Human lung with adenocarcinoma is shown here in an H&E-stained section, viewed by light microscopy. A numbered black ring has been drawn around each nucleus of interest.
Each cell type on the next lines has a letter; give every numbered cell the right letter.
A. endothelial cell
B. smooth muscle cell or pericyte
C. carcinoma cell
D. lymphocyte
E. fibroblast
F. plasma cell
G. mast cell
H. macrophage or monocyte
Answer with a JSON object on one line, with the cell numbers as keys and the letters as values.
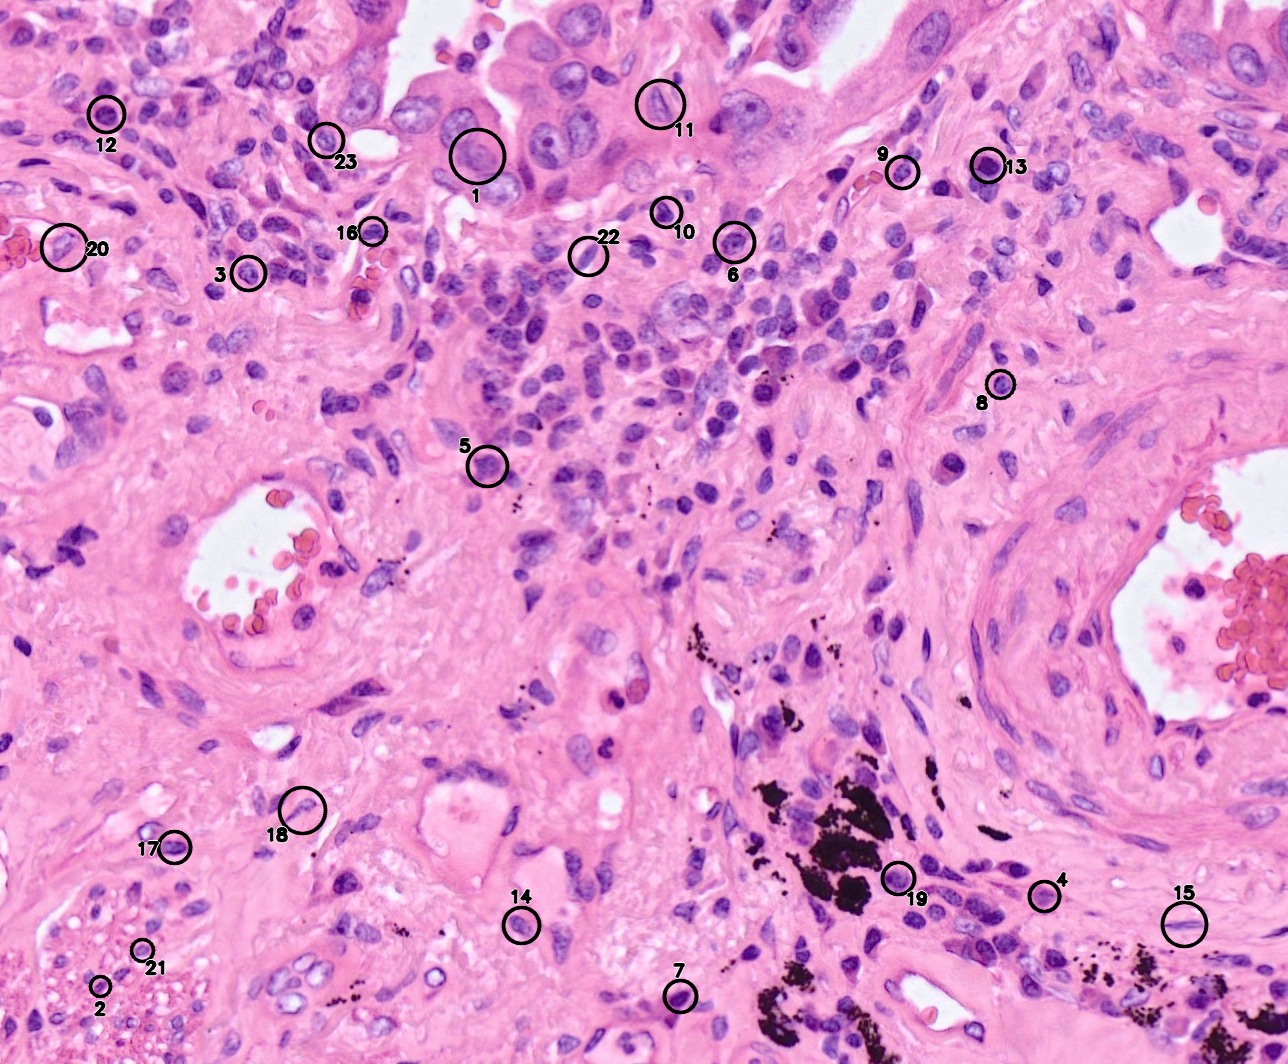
{"1": "C", "2": "B", "3": "G", "4": "F", "5": "F", "6": "F", "7": "F", "8": "G", "9": "G", "10": "D", "11": "E", "12": "F", "13": "F", "14": "G", "15": "E", "16": "D", "17": "G", "18": "E", "19": "F", "20": "A", "21": "B", "22": "D", "23": "D"}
